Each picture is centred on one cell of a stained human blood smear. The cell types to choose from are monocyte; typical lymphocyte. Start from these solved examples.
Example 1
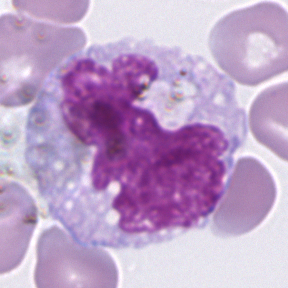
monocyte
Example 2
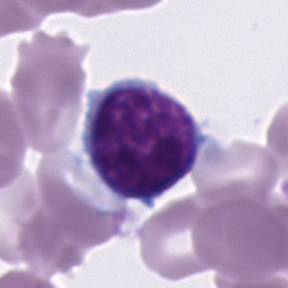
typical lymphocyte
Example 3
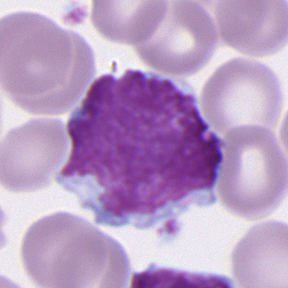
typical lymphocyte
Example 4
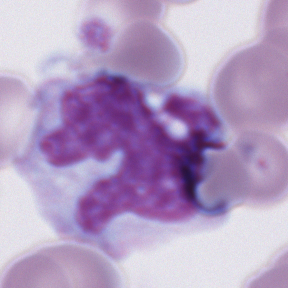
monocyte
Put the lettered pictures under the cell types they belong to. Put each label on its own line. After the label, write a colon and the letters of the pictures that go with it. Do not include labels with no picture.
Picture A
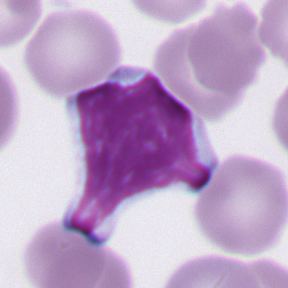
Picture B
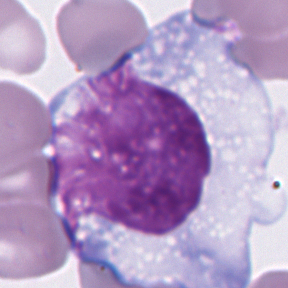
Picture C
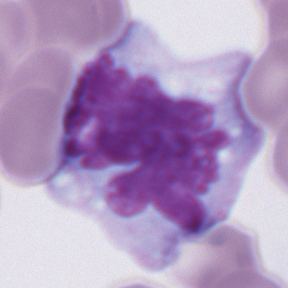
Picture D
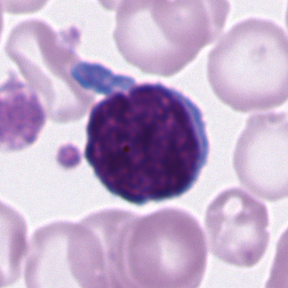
monocyte: B, C
typical lymphocyte: A, D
